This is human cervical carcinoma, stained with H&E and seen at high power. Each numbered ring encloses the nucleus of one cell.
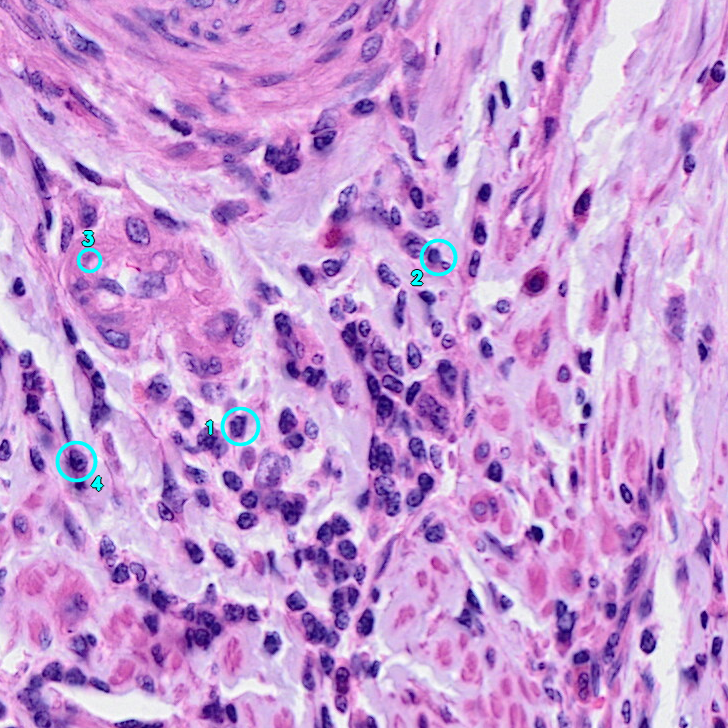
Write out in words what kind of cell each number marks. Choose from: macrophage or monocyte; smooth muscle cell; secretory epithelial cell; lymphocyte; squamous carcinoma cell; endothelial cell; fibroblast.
Cell 1 is a lymphocyte, cell 2 is a lymphocyte, cell 3 is an endothelial cell and cell 4 is a lymphocyte.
